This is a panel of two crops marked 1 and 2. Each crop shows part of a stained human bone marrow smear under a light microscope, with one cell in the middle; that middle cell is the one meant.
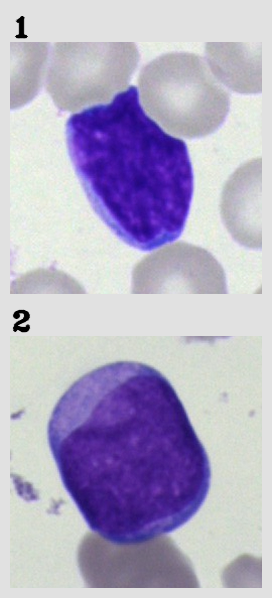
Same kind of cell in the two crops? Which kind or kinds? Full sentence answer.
Yes, the centre cells of both crops are blasts.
